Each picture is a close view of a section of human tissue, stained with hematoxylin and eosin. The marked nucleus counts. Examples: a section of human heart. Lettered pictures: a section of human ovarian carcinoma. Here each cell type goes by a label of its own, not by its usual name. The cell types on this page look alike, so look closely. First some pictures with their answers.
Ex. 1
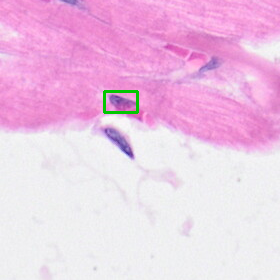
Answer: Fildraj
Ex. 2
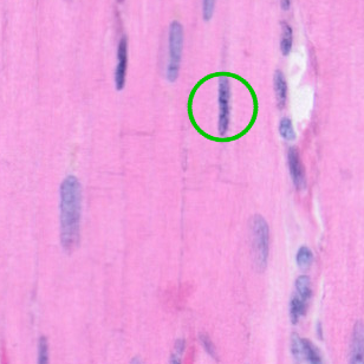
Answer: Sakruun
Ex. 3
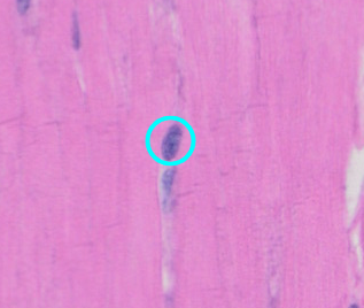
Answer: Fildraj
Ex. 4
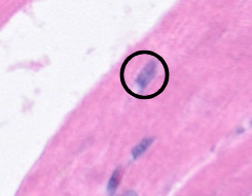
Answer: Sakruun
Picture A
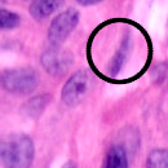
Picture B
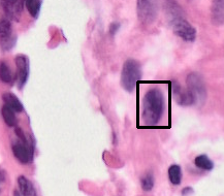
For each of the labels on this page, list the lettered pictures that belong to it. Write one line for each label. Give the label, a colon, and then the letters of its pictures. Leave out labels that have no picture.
Fildraj: A, B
